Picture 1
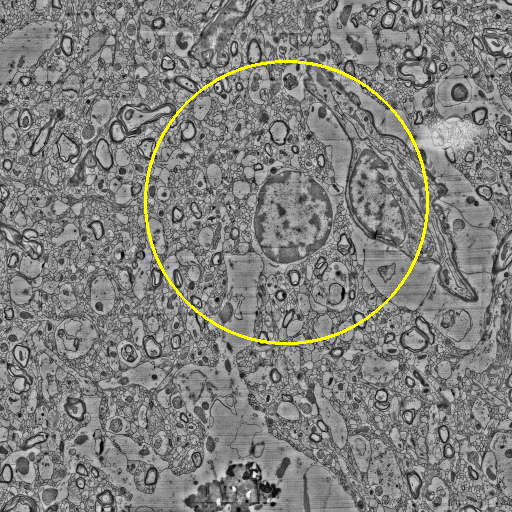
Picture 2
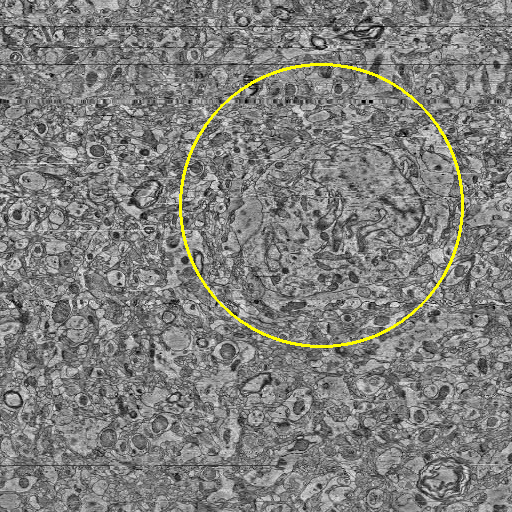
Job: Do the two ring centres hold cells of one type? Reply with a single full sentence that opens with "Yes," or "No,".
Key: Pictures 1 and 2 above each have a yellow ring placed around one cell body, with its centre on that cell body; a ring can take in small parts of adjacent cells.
No, the cells at the two ring centres are of two separate types.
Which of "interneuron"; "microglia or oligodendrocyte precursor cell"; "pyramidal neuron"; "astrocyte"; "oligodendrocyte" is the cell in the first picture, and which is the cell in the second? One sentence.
The two differ: the first cell is a microglial cell or oligodendrocyte precursor cell and the second is an interneuron.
